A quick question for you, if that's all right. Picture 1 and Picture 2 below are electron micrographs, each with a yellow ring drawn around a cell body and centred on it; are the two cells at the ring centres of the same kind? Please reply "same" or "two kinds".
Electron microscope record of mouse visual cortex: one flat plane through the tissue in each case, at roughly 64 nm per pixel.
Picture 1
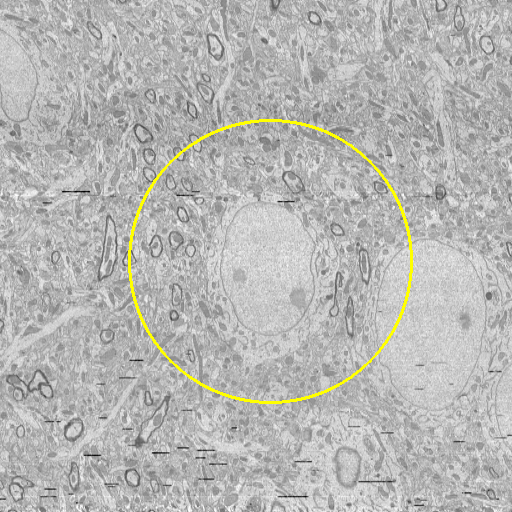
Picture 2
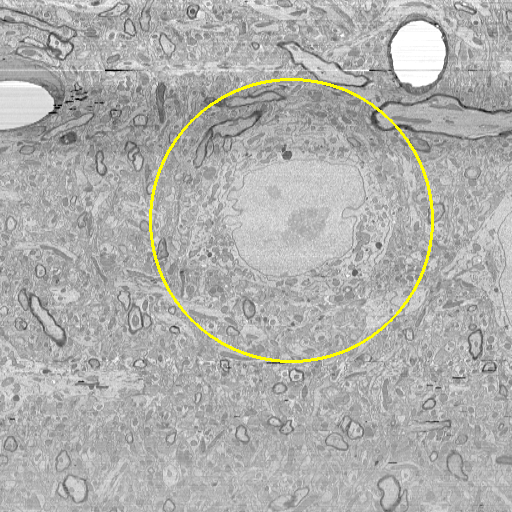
two kinds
